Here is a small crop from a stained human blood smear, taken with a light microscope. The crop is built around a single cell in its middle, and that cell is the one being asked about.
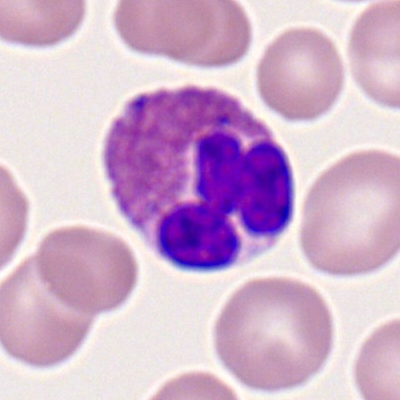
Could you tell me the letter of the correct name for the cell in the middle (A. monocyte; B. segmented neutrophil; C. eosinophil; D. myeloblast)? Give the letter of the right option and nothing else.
C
